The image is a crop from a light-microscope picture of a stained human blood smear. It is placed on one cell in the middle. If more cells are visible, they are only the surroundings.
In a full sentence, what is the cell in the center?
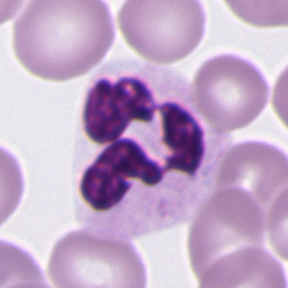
The cell at the middle of the crop is recognized as a segmented neutrophil.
